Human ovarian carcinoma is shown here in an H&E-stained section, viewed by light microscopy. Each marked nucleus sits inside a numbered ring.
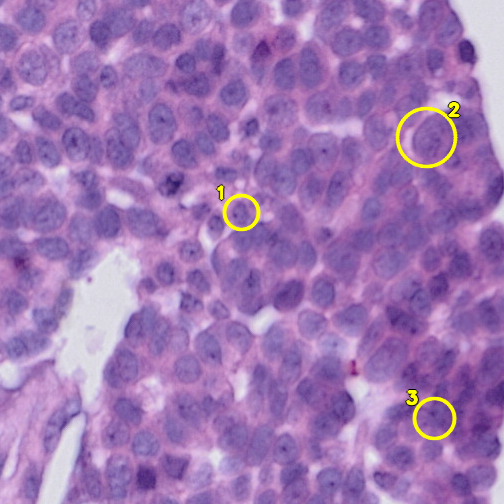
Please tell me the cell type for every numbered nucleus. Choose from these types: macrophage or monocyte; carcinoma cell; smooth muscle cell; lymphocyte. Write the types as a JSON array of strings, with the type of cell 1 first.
["macrophage or monocyte", "carcinoma cell", "carcinoma cell"]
